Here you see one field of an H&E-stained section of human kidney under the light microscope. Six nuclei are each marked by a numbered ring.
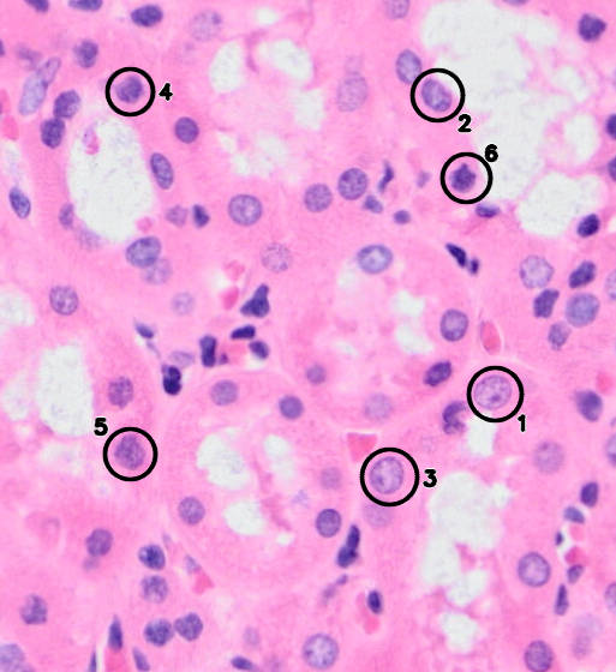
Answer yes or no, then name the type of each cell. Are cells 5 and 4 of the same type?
No, sorry to say, cell 5 is a proximal tubule cell and cell 4 is a loop of Henle or distal tubule cell.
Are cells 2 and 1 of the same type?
No, hold on, cell 2 is a loop of Henle or distal tubule cell and cell 1 is a proximal tubule cell.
